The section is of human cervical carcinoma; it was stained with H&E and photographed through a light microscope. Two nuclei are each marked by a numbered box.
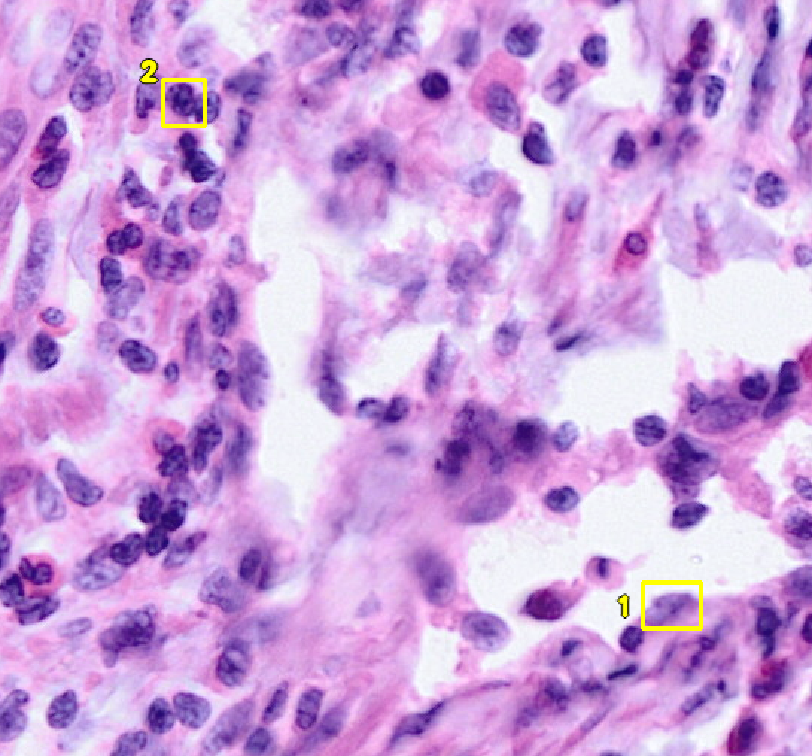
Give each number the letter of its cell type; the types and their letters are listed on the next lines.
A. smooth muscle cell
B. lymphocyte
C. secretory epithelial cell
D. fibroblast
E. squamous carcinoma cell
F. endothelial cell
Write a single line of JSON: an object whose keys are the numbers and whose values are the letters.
{"1": "F", "2": "B"}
